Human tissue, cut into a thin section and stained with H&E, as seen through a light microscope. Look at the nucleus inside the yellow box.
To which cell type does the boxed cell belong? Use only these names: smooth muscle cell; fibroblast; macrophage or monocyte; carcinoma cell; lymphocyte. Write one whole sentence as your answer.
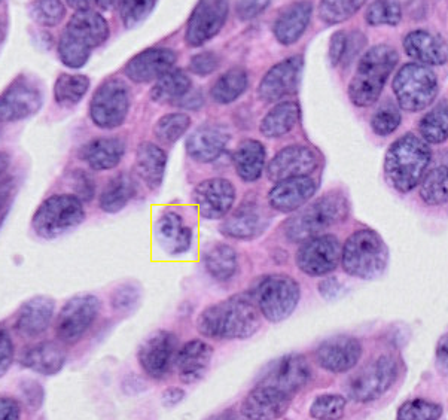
The boxed cell is a macrophage or monocyte.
